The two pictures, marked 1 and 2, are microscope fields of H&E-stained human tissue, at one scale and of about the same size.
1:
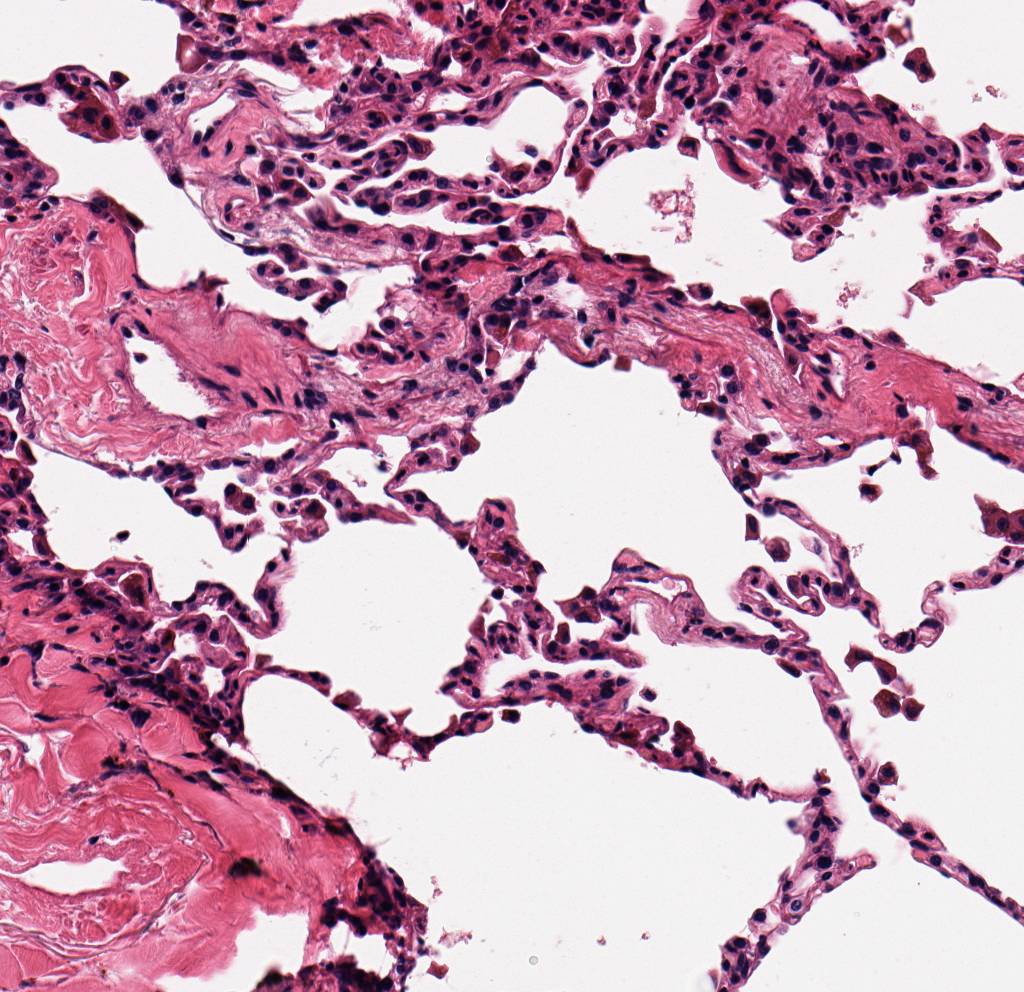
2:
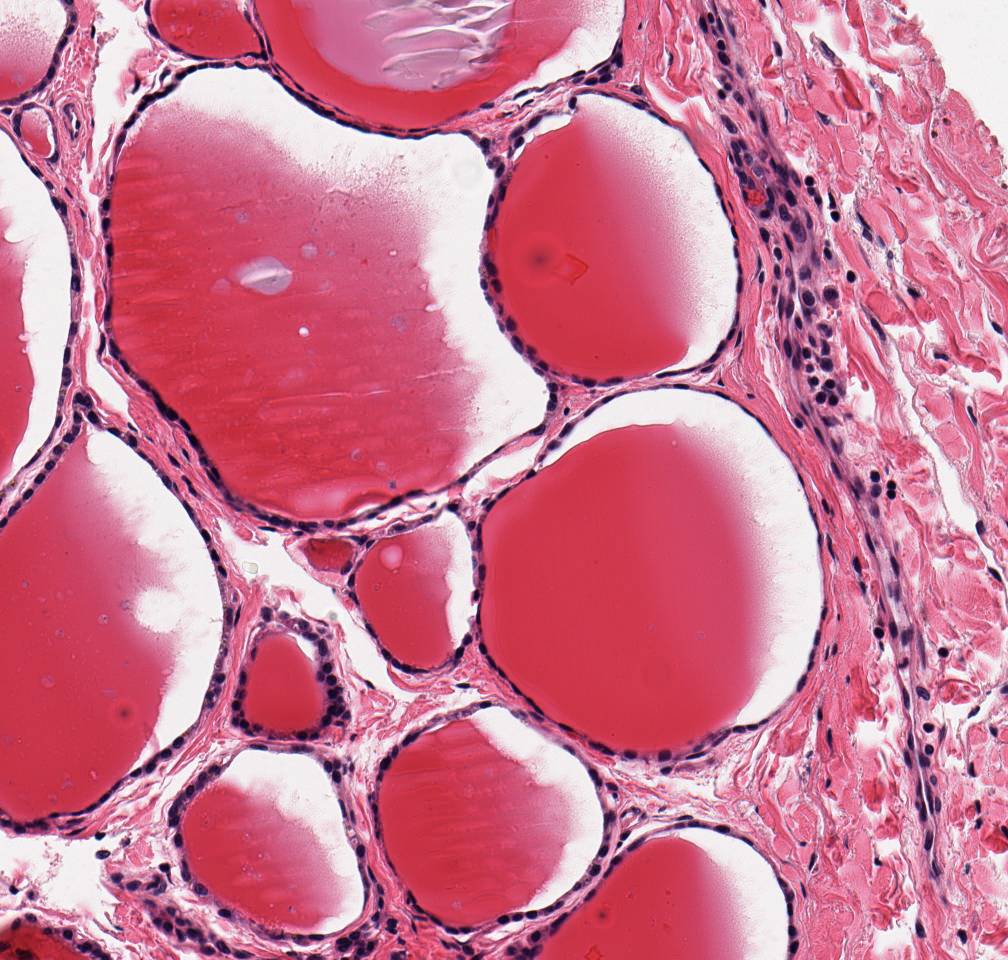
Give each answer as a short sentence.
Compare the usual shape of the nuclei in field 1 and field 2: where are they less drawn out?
Rounder nuclei lie in field 1.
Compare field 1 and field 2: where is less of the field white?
Less of field 2 is empty and white.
